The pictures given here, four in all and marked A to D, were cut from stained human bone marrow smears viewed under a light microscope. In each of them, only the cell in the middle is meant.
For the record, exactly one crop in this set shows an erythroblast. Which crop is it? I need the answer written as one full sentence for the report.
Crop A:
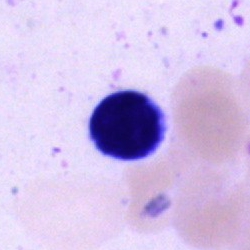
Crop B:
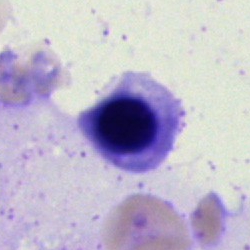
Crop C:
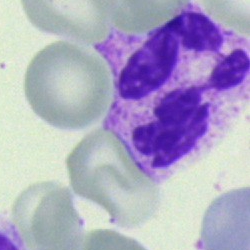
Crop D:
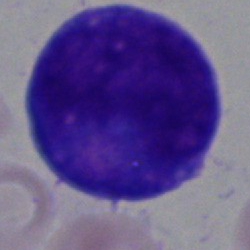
On review of the set, crop B is the one showing an erythroblast.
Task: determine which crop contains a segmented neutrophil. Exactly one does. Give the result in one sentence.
The one crop that shows a segmented neutrophil is crop C.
